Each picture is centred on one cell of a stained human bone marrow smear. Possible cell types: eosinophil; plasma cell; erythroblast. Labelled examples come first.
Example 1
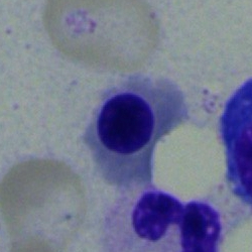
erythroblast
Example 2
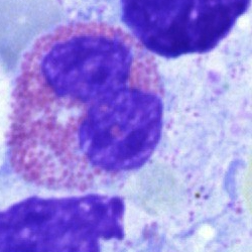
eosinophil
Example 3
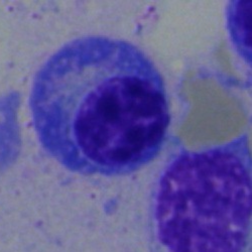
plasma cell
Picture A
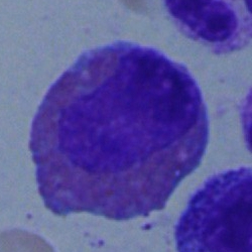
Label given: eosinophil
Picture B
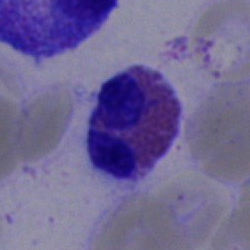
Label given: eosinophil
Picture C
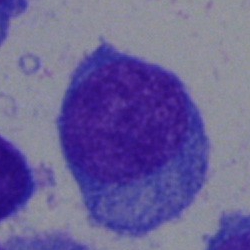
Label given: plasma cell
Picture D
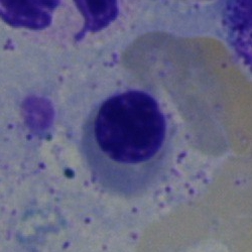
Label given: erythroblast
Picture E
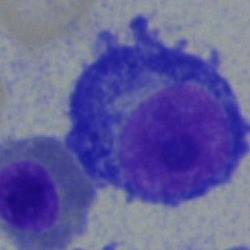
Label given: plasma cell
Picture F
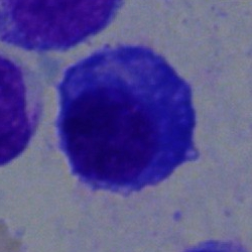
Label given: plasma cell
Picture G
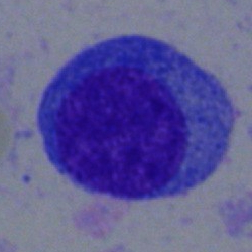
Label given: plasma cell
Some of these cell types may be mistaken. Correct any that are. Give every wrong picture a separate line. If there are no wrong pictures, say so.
Every label is right.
